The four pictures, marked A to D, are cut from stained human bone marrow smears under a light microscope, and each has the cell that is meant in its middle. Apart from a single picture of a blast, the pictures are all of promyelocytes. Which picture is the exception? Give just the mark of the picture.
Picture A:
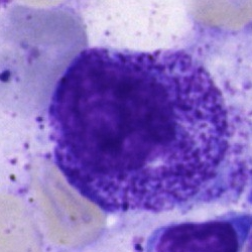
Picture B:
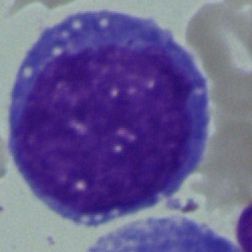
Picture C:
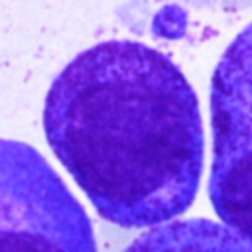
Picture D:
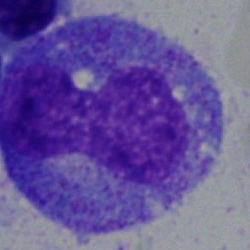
B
